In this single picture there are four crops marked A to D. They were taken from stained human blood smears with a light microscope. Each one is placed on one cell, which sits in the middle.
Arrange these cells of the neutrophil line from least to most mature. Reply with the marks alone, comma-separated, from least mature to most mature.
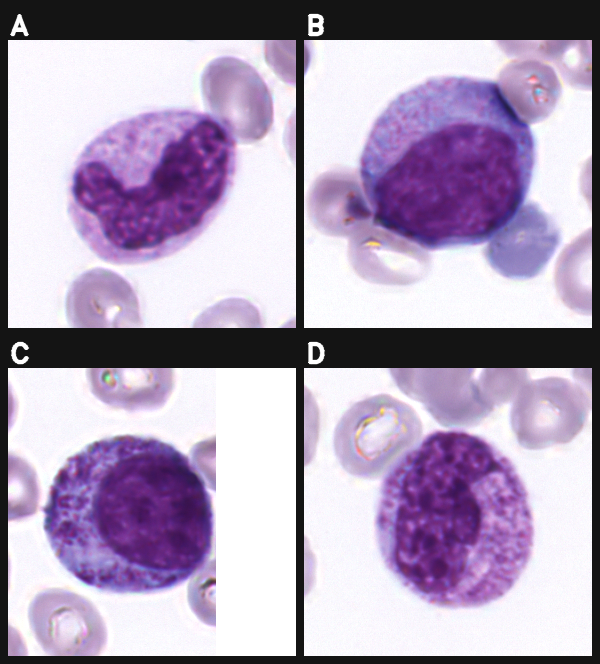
B, C, D, A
